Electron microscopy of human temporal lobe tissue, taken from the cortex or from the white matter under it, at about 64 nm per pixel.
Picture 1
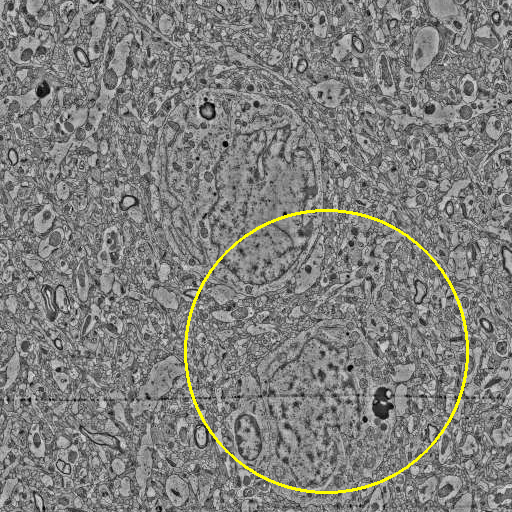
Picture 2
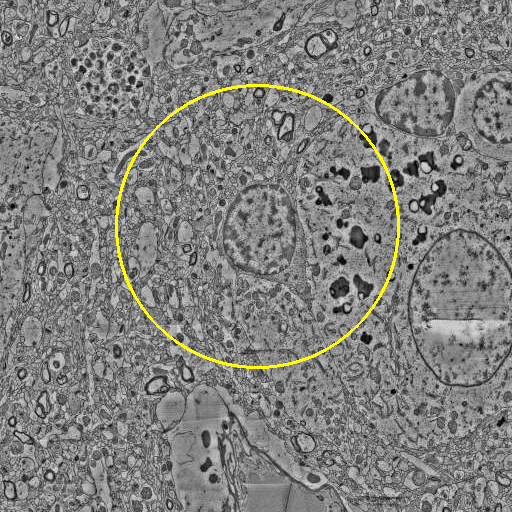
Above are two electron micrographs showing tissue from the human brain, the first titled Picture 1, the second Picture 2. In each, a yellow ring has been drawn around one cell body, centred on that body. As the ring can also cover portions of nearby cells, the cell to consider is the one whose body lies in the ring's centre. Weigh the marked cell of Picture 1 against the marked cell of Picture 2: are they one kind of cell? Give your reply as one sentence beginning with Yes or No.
No, the two cells sitting at the ring centres in the pictures are of two kinds.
